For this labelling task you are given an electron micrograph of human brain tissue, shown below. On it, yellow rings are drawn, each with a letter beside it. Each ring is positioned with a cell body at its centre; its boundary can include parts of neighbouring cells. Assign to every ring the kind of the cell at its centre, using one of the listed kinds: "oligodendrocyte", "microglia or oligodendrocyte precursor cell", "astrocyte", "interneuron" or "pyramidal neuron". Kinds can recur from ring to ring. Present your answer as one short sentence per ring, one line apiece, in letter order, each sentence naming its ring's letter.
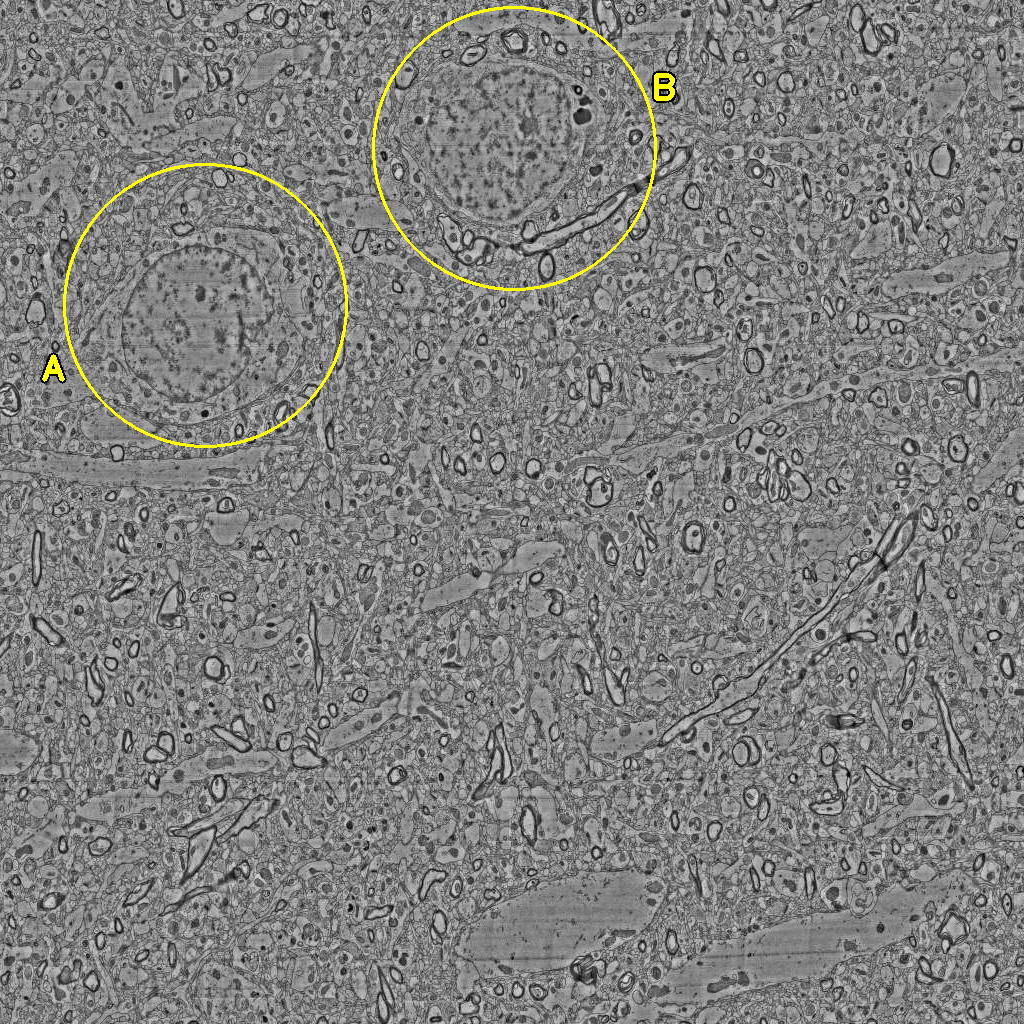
The cell in the middle of ring A is an interneuron.
The cell in the middle of ring B is an interneuron.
